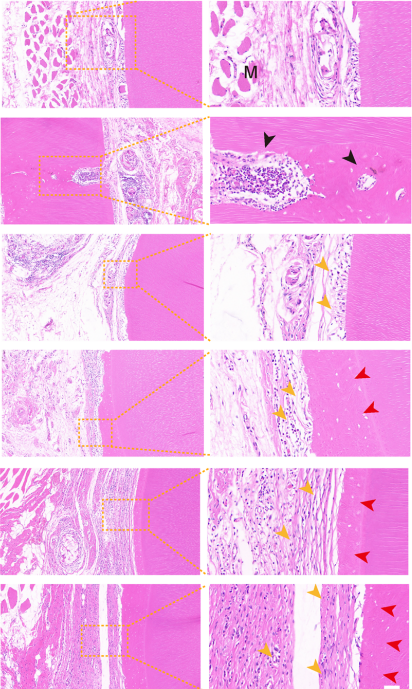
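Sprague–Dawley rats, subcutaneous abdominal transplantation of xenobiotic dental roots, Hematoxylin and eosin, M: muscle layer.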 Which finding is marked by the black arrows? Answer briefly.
Absorption.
